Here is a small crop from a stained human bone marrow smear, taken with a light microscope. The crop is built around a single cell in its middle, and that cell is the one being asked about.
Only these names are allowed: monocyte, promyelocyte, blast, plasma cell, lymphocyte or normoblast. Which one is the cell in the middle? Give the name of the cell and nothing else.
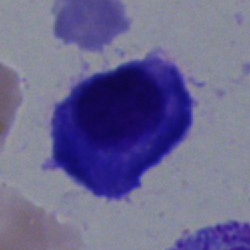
plasma cell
